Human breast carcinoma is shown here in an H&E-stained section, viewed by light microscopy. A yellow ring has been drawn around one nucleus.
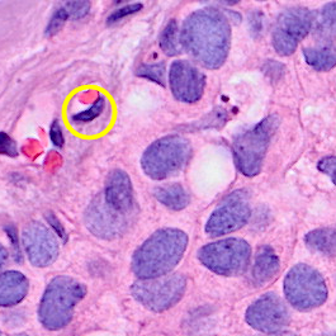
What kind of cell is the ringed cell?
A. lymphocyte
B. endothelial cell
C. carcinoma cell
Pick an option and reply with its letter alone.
B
